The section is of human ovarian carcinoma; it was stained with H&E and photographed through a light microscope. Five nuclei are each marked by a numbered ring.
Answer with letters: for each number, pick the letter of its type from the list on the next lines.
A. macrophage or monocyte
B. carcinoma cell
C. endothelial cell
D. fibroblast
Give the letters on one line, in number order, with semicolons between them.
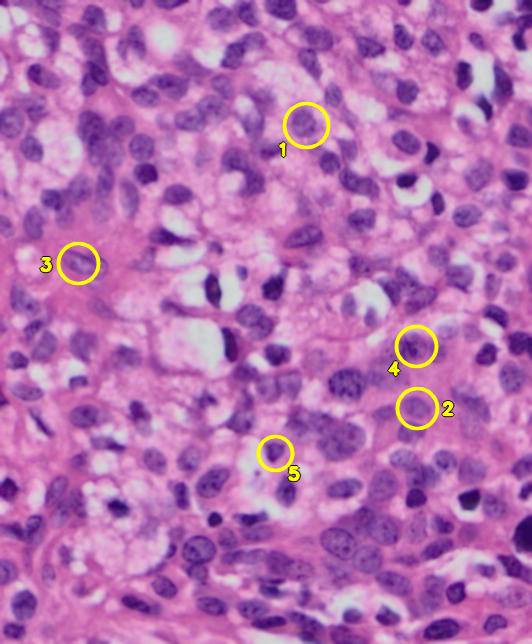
B; B; C; B; A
